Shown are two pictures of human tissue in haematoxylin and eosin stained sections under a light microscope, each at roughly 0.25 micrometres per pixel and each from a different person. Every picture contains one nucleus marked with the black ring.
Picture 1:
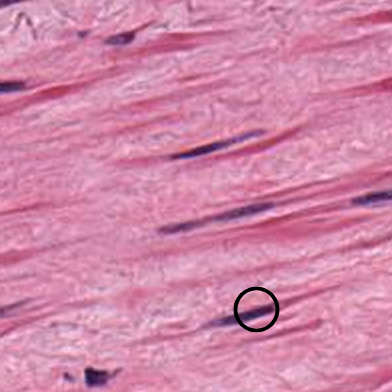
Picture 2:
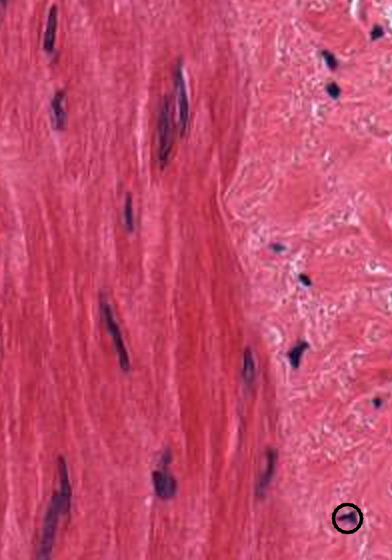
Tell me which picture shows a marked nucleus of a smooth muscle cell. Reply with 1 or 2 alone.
1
